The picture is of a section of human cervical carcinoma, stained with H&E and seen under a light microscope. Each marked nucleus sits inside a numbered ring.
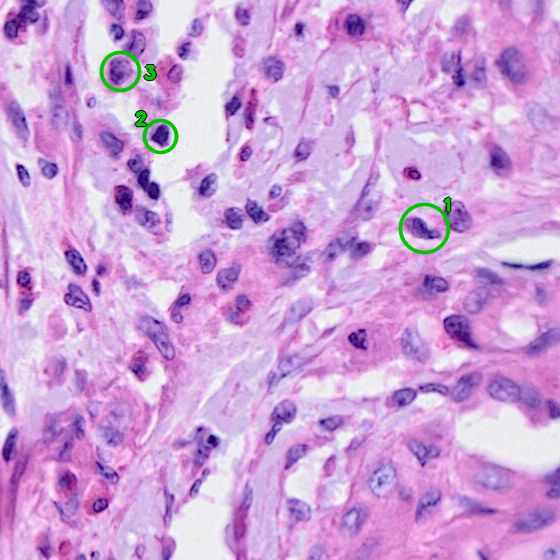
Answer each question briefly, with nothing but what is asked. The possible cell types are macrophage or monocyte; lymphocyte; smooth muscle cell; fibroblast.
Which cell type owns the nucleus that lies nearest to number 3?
macrophage or monocyte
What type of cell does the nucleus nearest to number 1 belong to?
macrophage or monocyte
